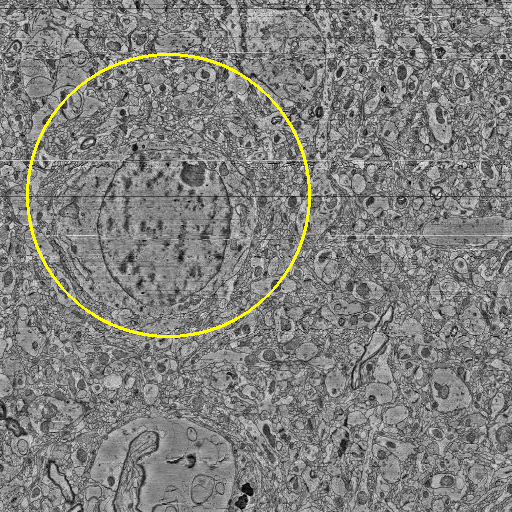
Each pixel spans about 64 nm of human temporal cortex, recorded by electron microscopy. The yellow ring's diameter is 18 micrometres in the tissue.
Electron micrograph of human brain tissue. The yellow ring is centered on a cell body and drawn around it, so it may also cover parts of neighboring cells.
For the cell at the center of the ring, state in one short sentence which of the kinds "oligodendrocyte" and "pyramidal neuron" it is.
This ring is centered on a pyramidal neuron.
